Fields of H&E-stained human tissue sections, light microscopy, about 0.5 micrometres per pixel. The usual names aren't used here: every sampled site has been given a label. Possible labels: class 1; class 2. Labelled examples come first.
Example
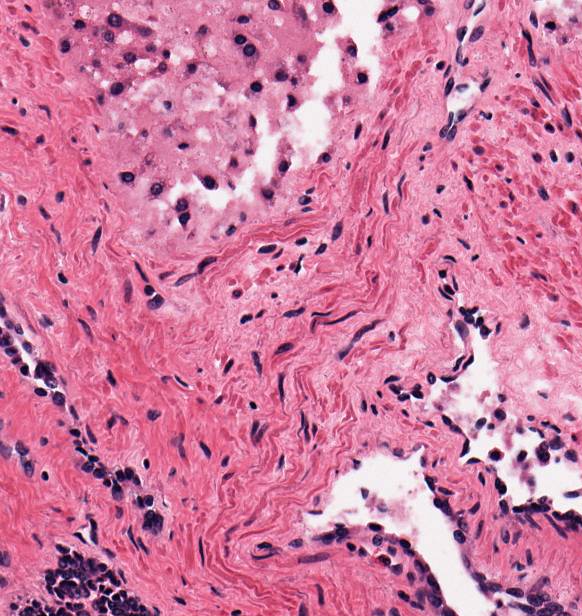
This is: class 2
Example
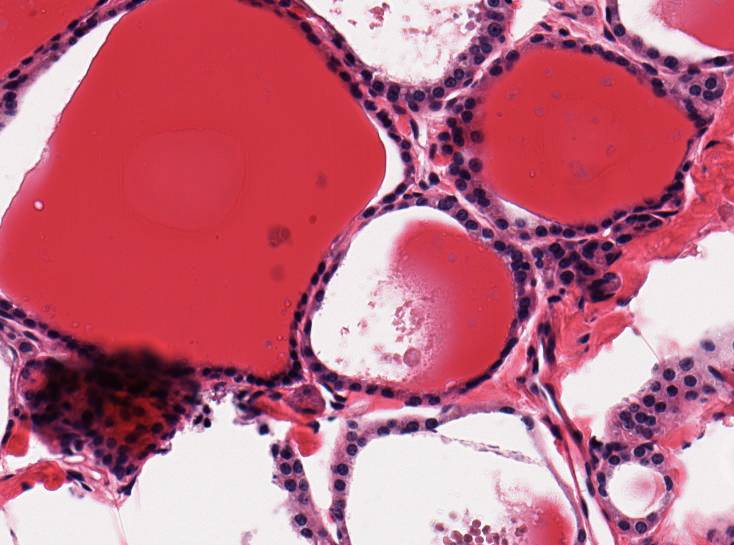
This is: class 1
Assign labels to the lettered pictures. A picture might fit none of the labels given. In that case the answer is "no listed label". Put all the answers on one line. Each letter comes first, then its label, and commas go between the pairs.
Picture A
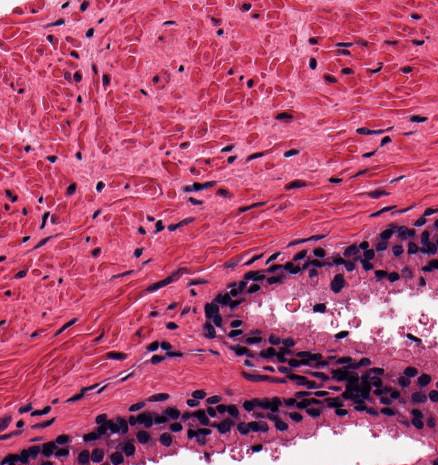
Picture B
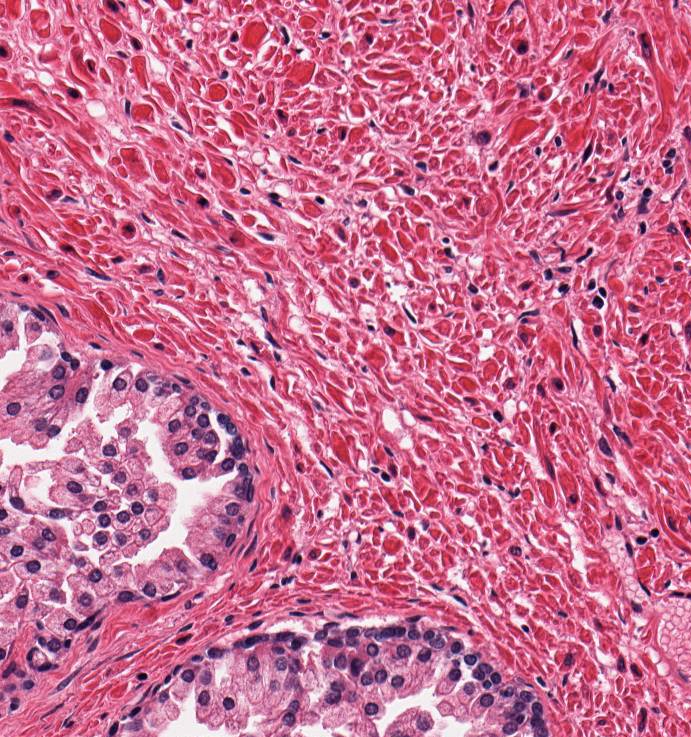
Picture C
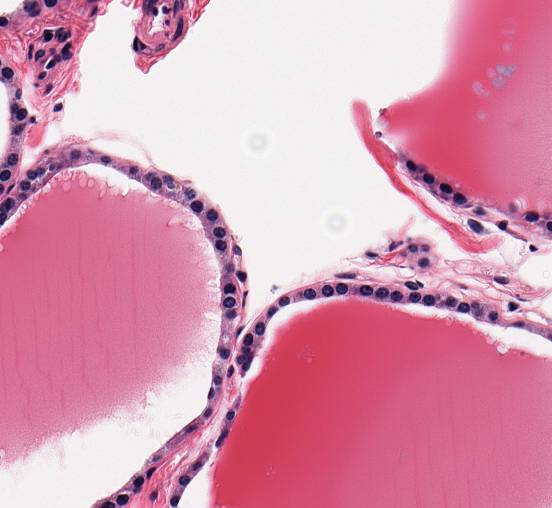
A class 2, B class 2, C class 1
